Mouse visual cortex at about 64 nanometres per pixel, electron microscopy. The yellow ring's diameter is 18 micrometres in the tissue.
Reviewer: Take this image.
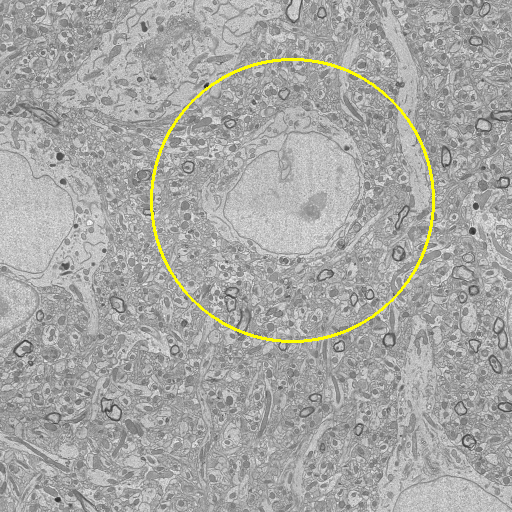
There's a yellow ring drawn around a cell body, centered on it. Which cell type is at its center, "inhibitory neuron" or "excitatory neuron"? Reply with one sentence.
At the center of the yellow ring is an inhibitory neuron.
